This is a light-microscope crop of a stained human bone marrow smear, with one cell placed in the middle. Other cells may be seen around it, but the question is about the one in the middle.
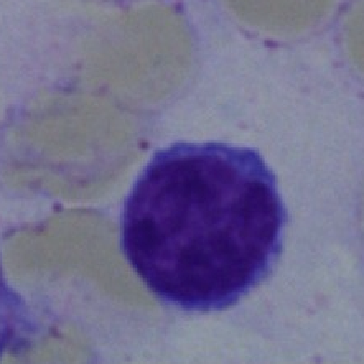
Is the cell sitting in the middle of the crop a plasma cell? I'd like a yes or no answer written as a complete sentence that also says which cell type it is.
No, it is a lymphocyte that sits in the middle, not a plasma cell.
